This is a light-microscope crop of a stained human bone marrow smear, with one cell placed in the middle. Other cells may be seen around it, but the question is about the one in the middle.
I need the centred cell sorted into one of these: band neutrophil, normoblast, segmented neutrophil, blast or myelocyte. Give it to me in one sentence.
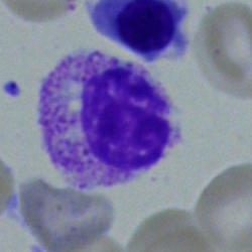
As for the cell in the middle, it is a myelocyte.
